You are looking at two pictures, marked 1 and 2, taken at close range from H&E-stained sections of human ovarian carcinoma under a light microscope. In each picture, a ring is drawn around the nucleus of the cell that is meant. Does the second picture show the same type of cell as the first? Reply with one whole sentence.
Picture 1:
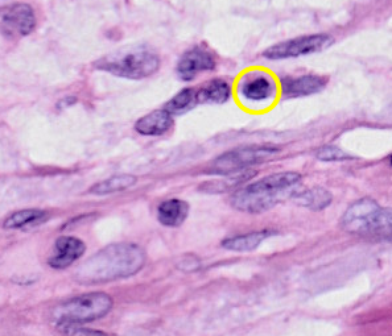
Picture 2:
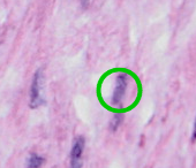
No, they differ: the cell is a lymphocyte in picture 1 and a fibroblast in picture 2.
